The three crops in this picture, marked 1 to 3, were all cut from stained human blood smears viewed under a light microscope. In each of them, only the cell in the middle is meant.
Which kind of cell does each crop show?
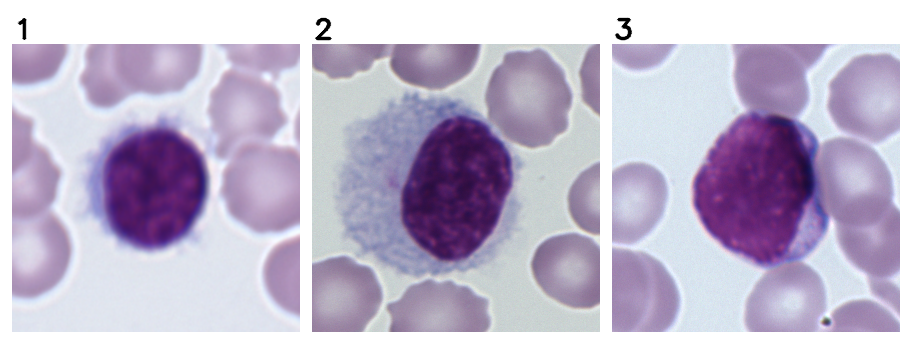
1: hairy cell
2: hairy cell
3: large granular lymphocyte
